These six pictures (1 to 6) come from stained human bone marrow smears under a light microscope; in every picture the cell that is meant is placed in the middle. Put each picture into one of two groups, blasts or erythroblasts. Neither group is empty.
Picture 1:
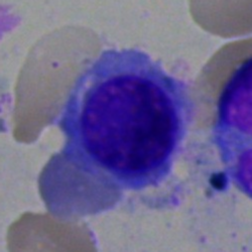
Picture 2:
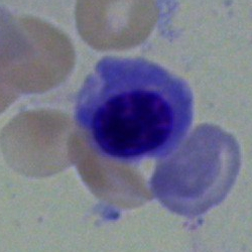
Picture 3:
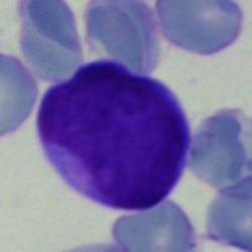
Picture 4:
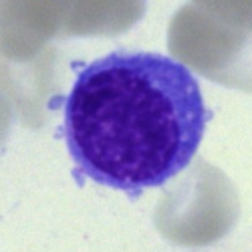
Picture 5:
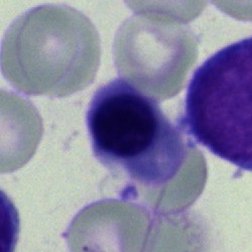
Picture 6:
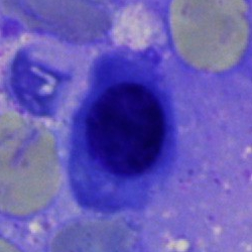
1: erythroblast
2: erythroblast
3: blast
4: blast
5: erythroblast
6: erythroblast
